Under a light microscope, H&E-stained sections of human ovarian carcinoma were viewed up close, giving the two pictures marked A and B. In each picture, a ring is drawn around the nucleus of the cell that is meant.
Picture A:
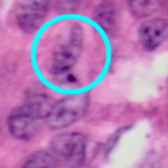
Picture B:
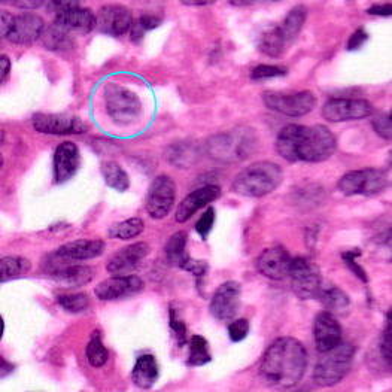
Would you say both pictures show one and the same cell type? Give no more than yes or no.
yes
